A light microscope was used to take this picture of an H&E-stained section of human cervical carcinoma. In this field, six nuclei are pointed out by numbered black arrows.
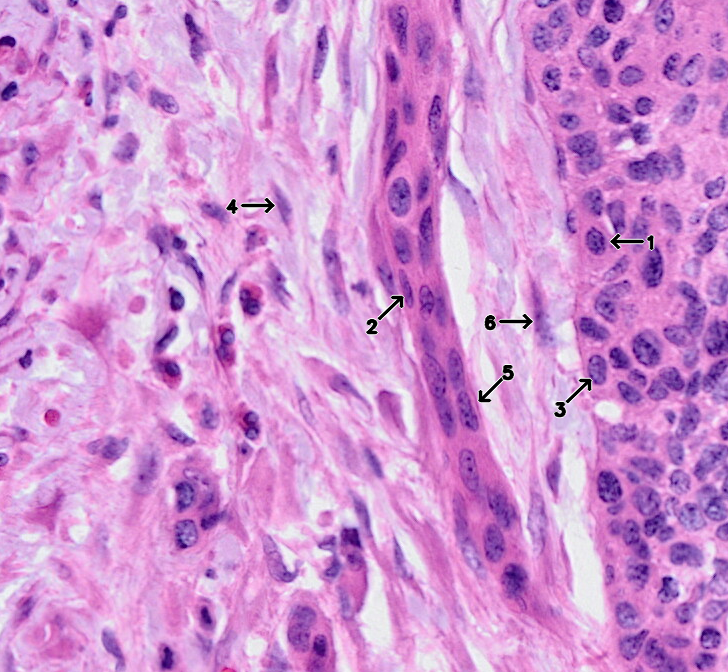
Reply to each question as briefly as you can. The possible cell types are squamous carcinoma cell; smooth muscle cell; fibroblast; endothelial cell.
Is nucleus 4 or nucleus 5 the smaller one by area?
4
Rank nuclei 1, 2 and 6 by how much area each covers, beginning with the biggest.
6, 1, 2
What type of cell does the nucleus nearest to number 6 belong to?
squamous carcinoma cell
